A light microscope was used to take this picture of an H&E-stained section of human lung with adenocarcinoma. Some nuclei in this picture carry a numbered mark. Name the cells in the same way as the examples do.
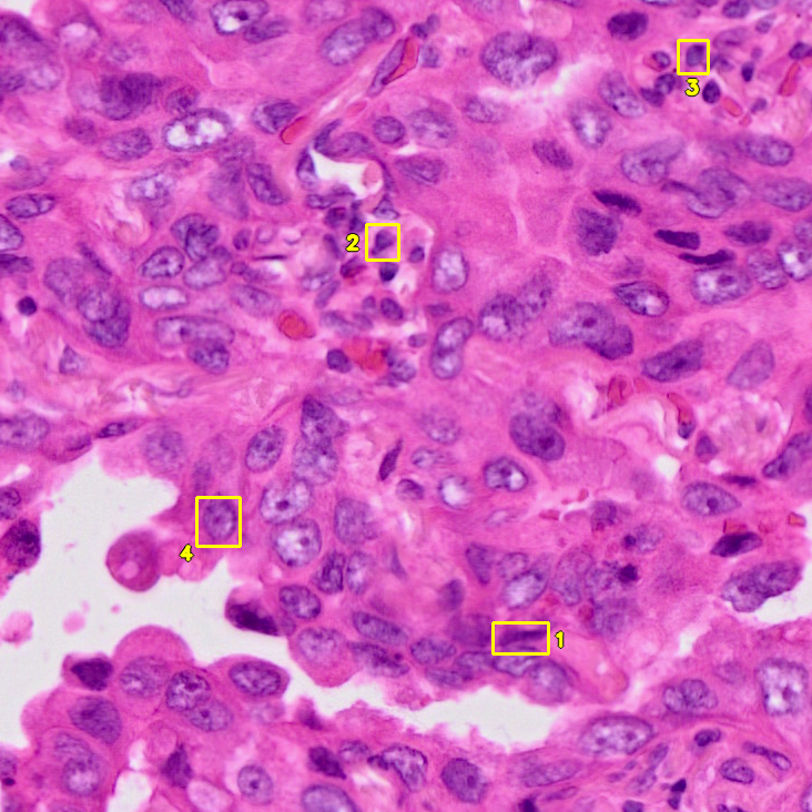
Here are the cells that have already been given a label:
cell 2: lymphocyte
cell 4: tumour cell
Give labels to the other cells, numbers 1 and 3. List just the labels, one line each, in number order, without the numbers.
tumour cell
lymphocyte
